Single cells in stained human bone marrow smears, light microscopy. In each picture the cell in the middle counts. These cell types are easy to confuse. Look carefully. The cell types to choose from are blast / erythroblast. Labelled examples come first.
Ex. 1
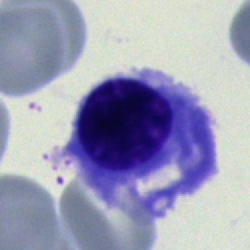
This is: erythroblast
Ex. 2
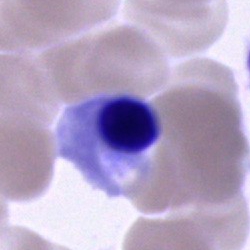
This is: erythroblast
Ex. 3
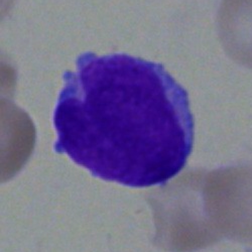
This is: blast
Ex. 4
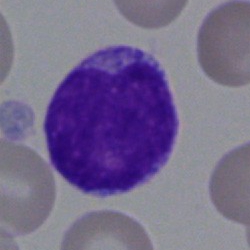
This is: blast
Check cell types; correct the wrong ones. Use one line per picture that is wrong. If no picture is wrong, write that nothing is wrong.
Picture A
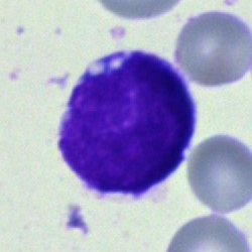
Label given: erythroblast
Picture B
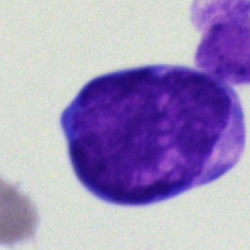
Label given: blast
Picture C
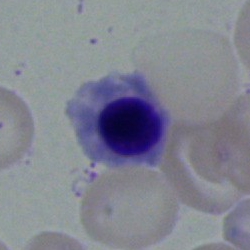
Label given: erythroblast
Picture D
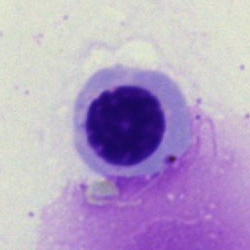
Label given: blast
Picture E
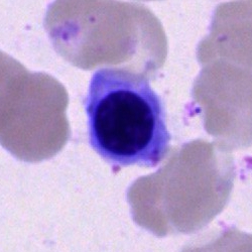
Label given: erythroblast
A: change erythroblast to blast
D: change blast to erythroblast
